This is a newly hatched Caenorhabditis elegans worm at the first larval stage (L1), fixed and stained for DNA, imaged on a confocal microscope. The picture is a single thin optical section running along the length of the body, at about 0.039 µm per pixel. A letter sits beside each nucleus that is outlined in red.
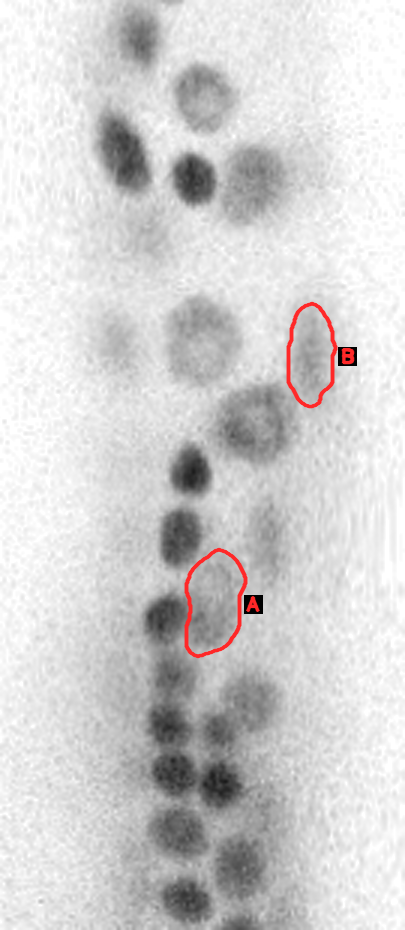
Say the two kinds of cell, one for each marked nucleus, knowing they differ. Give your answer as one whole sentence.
A is in a seam cell and B is in a body wall muscle cell.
